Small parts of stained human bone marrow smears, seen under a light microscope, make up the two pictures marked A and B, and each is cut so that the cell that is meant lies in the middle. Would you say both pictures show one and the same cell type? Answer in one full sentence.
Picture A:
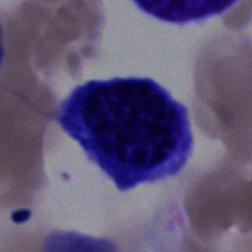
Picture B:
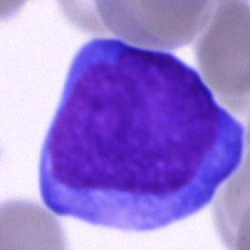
No; the cell in picture A is an erythroblast, while the one in picture B is a blast.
